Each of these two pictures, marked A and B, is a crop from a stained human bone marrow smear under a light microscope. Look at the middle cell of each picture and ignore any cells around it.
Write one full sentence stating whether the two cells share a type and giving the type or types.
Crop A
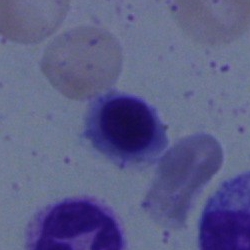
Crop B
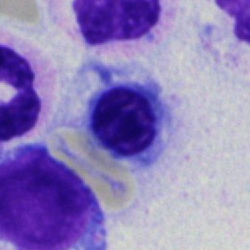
Yes, erythroblasts lie at the centre of both crops.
